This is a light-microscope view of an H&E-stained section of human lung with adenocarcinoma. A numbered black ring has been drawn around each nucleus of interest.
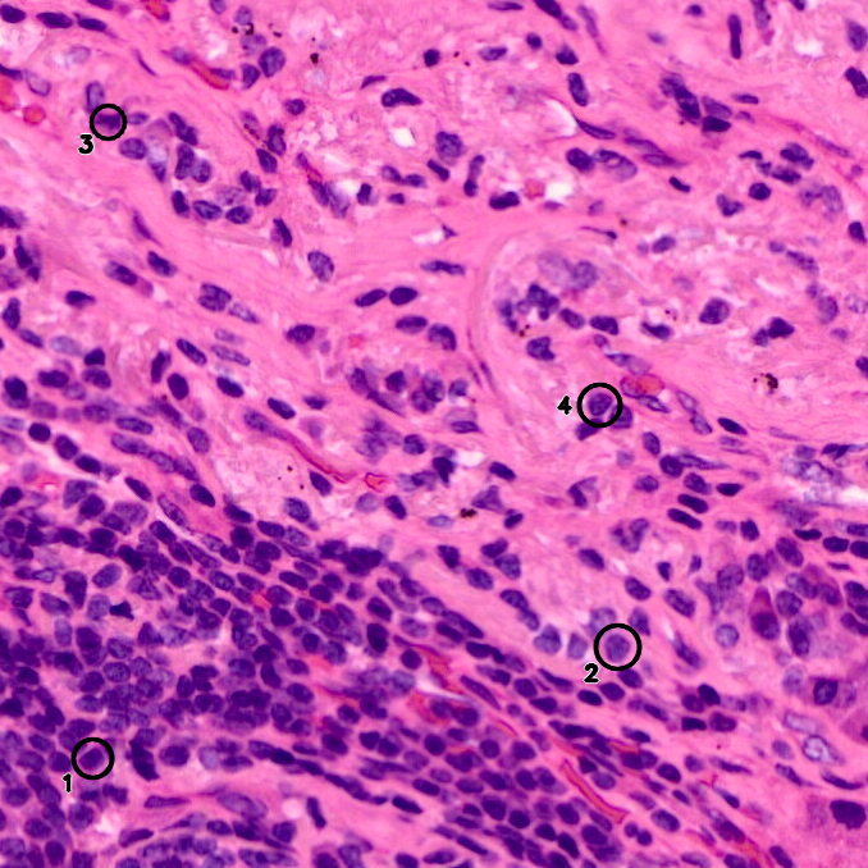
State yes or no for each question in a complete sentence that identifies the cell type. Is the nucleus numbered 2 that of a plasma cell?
No, cell 2 has been misnamed; it is a lymphocyte, not a plasma cell.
